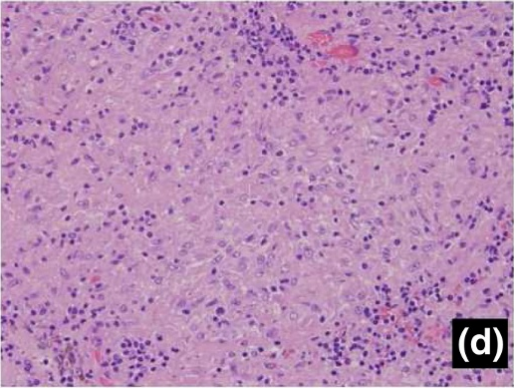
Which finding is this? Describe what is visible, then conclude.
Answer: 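Non-caseating epithelioid cell granuloma. A central sheet of cells with pale pink cytoplasm and oval to elongated pale nuclei. Small dark round lymphocytes surround the pale cell cluster. No necrotic debris is seen in the center of the cluster.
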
